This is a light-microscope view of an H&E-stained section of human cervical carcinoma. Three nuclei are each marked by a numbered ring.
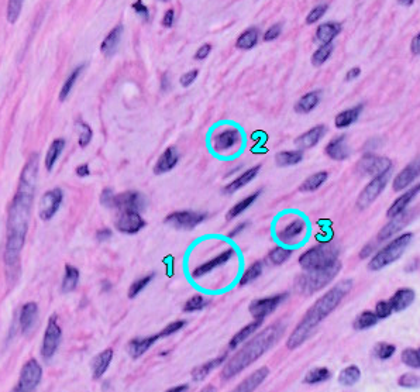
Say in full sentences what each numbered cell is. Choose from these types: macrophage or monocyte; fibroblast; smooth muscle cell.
Cell 1 is a fibroblast. Cells 2 and 3 are smooth muscle cells.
